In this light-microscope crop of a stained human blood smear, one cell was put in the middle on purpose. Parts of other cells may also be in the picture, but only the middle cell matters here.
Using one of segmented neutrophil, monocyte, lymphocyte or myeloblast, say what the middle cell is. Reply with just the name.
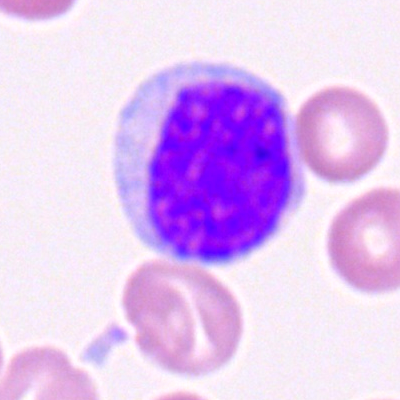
lymphocyte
